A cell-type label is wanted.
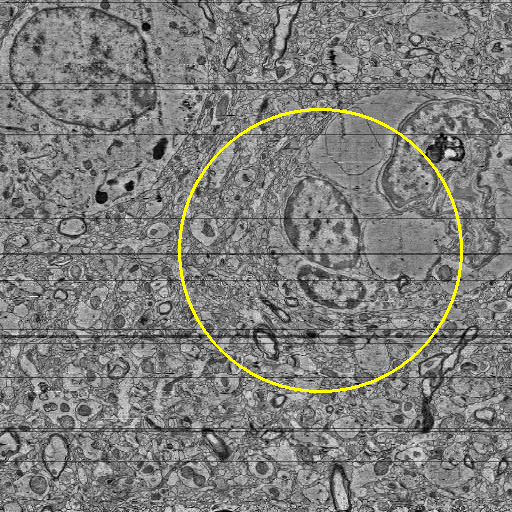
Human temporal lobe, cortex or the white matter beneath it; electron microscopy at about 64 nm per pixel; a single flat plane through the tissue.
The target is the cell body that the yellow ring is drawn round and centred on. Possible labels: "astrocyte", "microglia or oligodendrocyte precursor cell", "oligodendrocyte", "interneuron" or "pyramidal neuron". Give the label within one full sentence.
Of the labels offered, the cell in the middle of the yellow ring is a microglial cell or oligodendrocyte precursor cell.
